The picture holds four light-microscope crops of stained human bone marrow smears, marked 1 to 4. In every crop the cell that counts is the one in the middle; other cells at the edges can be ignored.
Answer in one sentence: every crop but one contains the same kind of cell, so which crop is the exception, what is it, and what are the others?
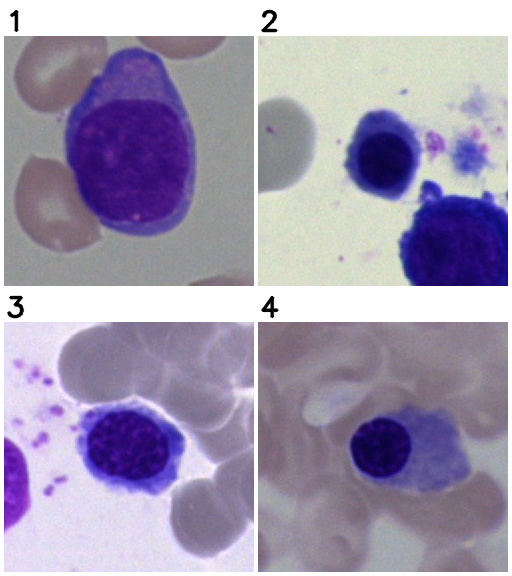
Crop 1 is the odd one out, being a blast, while all the other crops show erythroblasts.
